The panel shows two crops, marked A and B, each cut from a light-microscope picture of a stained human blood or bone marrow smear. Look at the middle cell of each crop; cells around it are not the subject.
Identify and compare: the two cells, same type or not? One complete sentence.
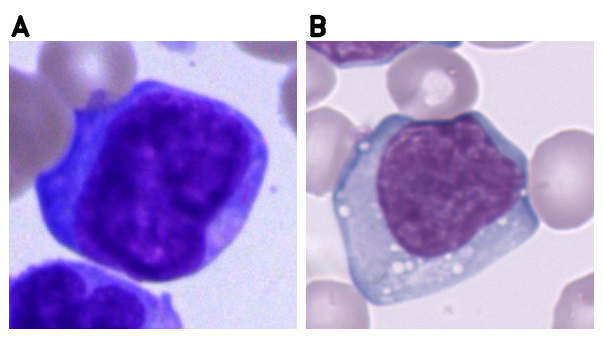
Yes, the first and the second crop both show blasts.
